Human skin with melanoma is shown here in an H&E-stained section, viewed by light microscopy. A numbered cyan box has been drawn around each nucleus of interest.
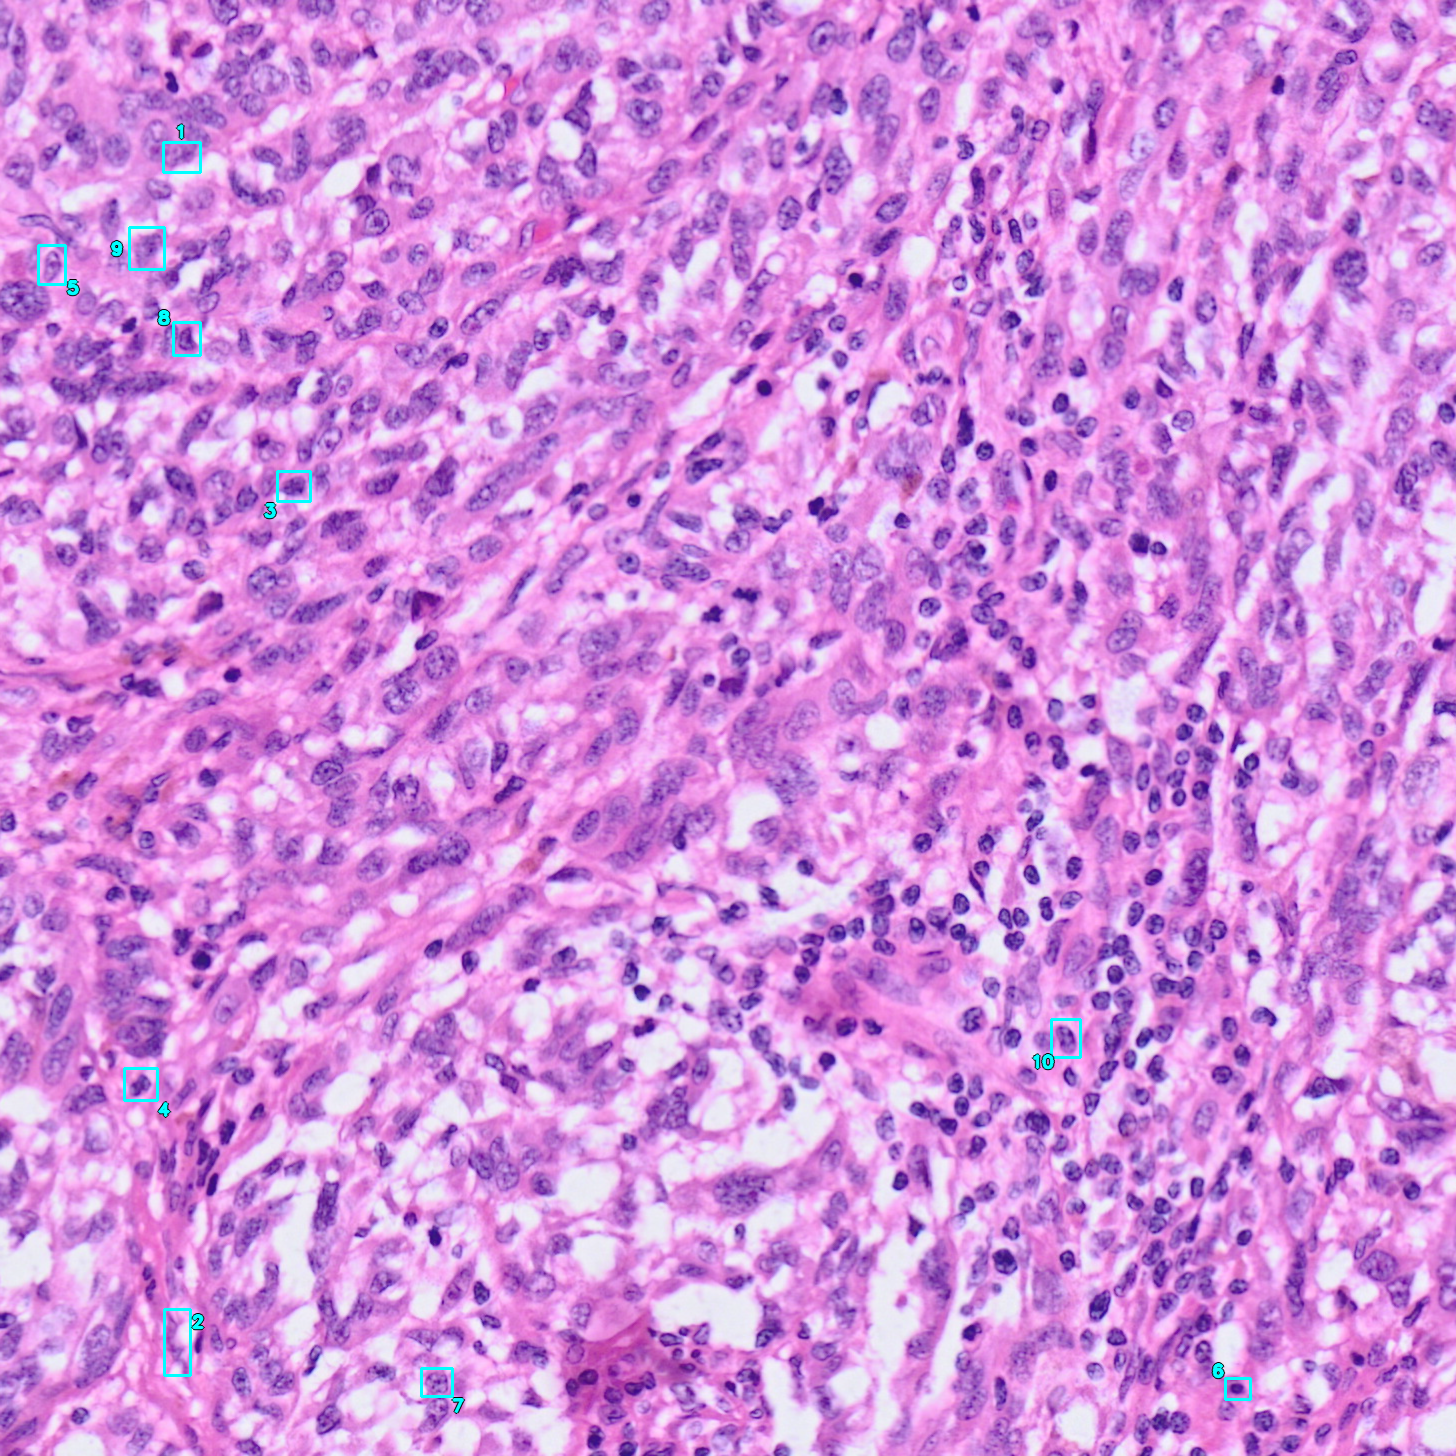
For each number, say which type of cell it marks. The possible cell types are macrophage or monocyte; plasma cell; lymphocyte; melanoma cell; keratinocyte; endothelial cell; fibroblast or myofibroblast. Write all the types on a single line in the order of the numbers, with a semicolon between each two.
melanoma cell; fibroblast or myofibroblast; melanoma cell; lymphocyte; melanoma cell; lymphocyte; melanoma cell; melanoma cell; melanoma cell; lymphocyte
